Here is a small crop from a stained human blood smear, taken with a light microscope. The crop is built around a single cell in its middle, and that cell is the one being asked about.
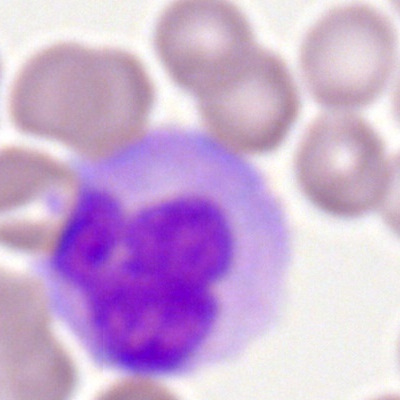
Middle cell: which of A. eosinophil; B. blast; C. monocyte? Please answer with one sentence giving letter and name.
The central cell is a monocyte, which makes option C the right answer.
